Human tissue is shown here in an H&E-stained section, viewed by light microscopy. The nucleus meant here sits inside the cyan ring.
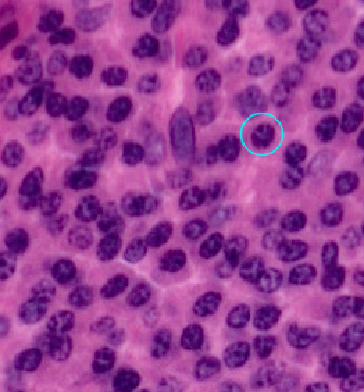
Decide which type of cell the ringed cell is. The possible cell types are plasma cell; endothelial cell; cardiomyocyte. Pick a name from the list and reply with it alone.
plasma cell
